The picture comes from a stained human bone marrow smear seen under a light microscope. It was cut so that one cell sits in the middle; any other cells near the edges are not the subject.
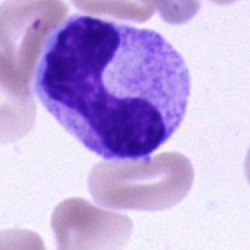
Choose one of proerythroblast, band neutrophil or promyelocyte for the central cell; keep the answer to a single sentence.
The middle of this crop is occupied by a band neutrophil.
